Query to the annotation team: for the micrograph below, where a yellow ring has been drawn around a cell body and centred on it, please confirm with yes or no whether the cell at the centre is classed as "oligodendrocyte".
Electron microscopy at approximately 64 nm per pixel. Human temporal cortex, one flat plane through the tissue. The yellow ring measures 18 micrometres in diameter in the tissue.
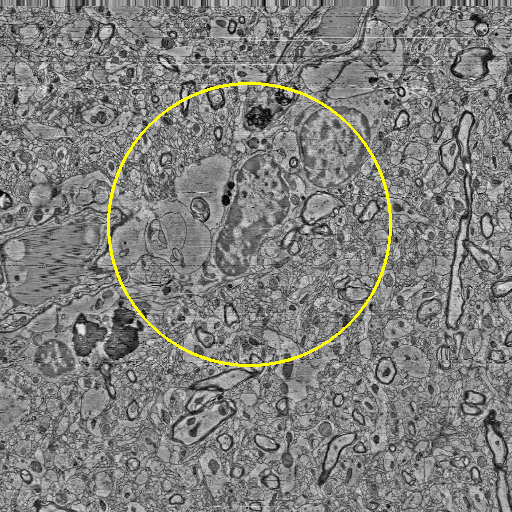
No, it belongs to another class.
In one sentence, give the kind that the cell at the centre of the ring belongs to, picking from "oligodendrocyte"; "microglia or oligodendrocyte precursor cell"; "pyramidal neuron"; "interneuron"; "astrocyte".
In this picture, the ring is centred on a microglial cell or oligodendrocyte precursor cell.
